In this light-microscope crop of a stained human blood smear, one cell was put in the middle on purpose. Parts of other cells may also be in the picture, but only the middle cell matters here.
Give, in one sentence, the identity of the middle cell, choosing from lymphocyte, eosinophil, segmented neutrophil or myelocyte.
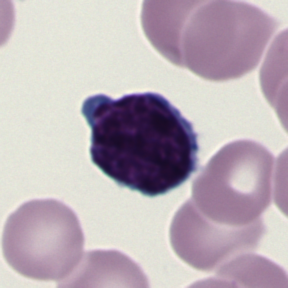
The cell positioned in the middle of the field is a lymphocyte.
